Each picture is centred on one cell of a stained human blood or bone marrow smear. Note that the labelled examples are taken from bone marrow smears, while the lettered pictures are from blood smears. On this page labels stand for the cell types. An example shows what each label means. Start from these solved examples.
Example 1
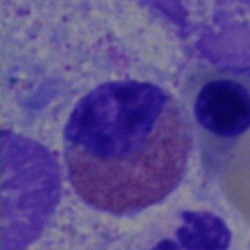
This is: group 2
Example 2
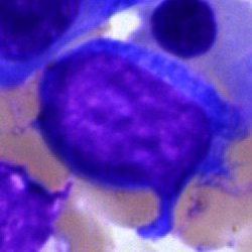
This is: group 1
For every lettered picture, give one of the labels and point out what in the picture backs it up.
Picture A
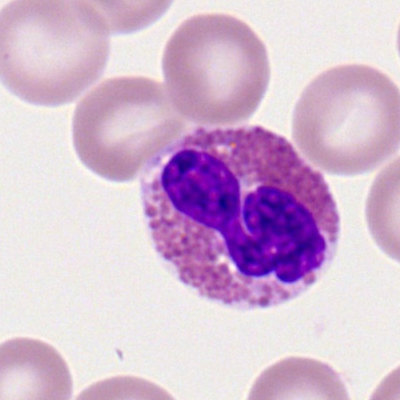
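group 2: The two nuclear lobes lie along a diagonal from upper left to lower right.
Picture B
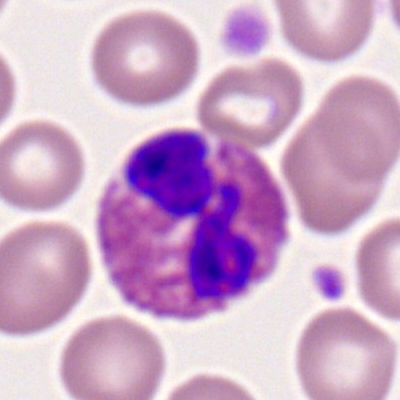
group 2: The cytoplasm is packed with coarse pink-red granules.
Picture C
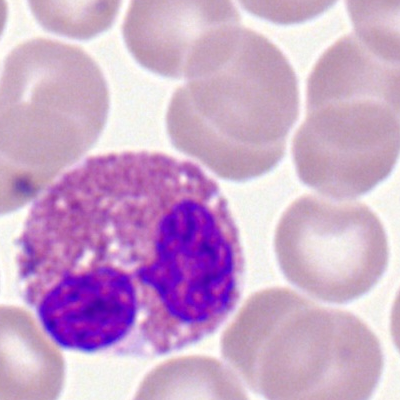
group 2: The nucleus has two lobes.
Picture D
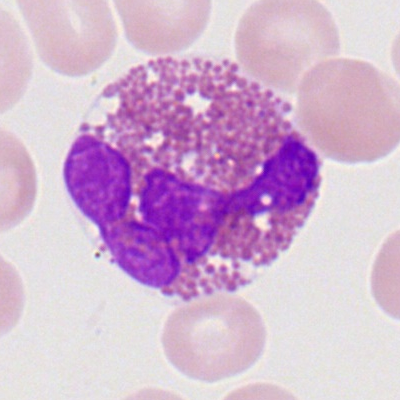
group 2: The nucleus is divided into several lobes joined in a chain.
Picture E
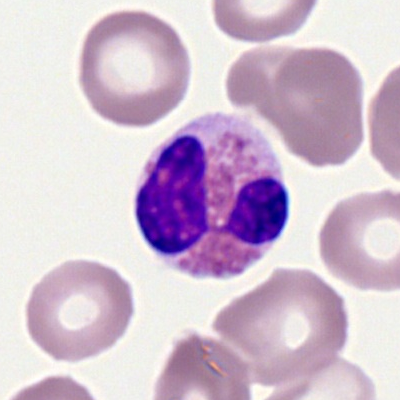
group 2: The nucleus is divided into two lobes.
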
